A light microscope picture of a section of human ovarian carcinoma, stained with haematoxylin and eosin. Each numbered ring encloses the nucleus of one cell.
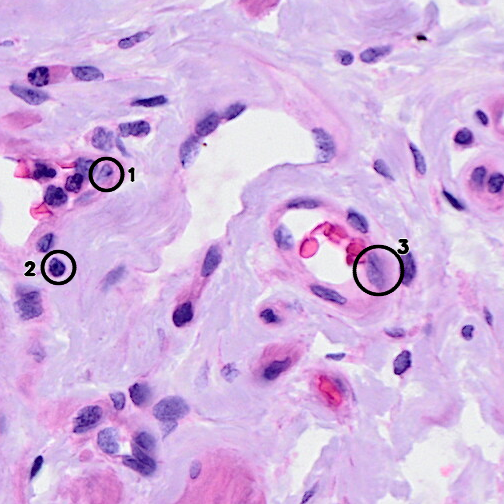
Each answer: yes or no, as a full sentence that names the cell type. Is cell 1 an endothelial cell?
Yes, regarding number 1, the cell is an endothelial cell.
